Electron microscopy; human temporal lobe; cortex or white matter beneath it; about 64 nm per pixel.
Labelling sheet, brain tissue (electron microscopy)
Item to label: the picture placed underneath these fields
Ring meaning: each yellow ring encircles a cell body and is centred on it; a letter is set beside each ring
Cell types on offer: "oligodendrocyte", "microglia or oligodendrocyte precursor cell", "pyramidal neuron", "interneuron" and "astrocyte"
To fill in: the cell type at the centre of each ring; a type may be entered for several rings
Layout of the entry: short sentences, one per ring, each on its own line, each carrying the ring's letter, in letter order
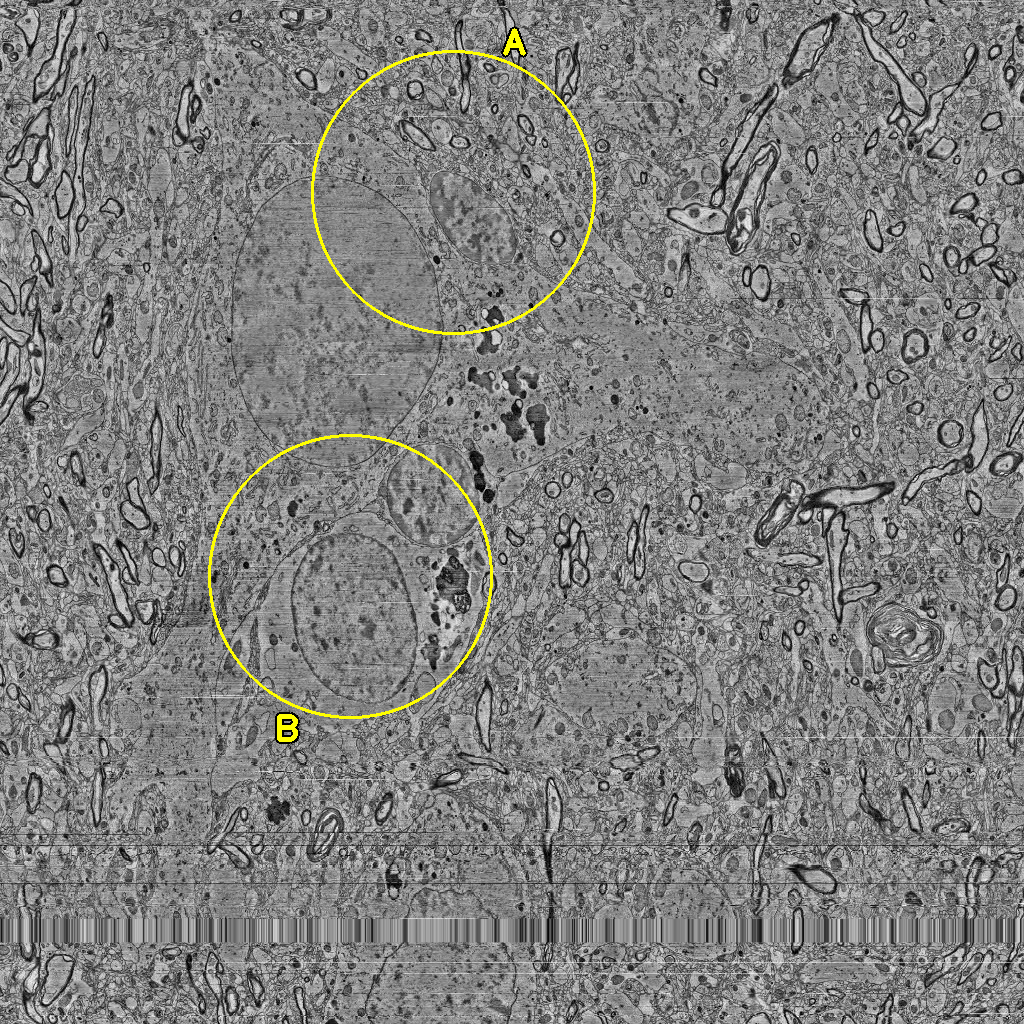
Ring A encircles the body of a microglial cell or oligodendrocyte precursor cell.
Ring B encircles the body of an astrocyte.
